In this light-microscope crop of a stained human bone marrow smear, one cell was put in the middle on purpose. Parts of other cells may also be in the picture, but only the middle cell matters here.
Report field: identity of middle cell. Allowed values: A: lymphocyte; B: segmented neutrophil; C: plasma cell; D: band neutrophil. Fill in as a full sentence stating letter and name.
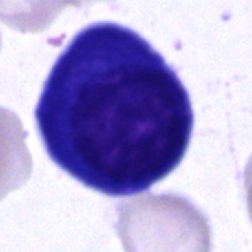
Option C is accurate; the centrally placed cell is a plasma cell.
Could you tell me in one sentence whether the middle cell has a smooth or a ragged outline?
The outline traces a smooth curve with no projections along it.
